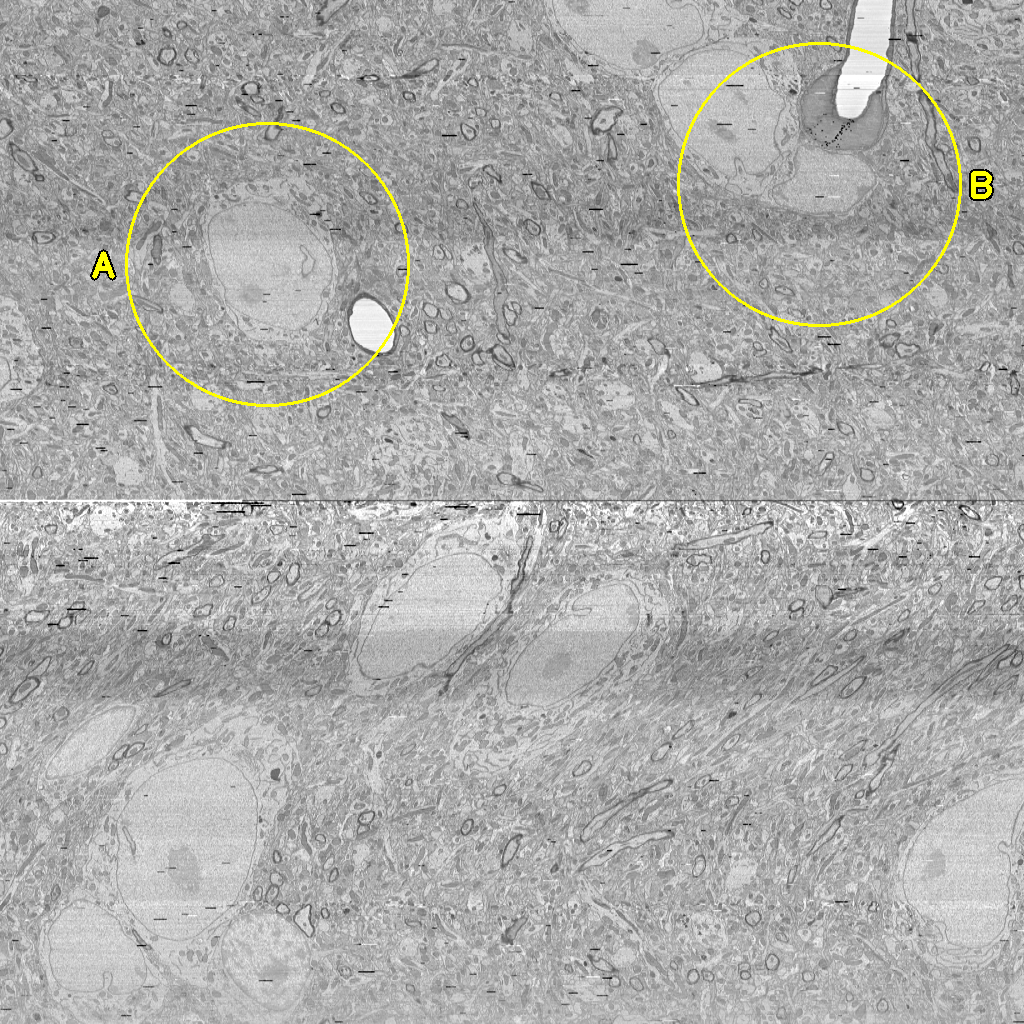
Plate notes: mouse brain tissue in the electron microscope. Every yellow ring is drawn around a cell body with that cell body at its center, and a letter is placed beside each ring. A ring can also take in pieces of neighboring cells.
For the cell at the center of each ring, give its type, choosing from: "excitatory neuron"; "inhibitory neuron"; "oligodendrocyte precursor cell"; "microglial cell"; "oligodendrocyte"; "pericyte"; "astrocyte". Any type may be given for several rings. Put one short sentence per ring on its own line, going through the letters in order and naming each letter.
Ring A shows an excitatory neuron at the center.
Ring B shows an oligodendrocyte precursor cell at the center.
